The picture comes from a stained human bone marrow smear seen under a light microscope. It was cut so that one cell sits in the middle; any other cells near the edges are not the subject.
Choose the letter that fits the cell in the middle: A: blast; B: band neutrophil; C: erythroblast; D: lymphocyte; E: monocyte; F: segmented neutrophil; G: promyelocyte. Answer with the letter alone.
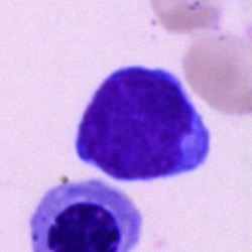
D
